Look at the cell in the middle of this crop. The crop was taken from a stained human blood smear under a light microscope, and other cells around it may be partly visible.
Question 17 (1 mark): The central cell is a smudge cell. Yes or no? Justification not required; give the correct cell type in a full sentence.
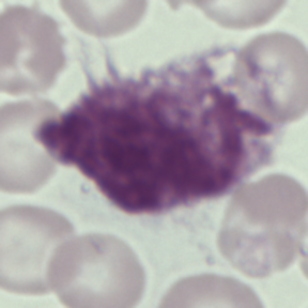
Yes, the middle cell in this crop is a smudge cell.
